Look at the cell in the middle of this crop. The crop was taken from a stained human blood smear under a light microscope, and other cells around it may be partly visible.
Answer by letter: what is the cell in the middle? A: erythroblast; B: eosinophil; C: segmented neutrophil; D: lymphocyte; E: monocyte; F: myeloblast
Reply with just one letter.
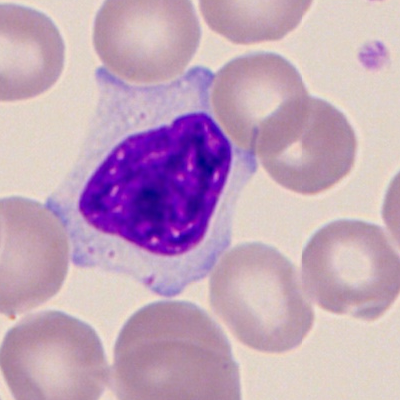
D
